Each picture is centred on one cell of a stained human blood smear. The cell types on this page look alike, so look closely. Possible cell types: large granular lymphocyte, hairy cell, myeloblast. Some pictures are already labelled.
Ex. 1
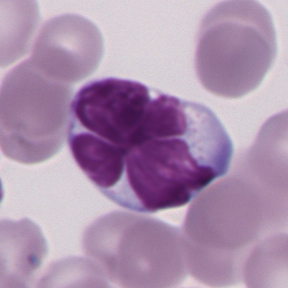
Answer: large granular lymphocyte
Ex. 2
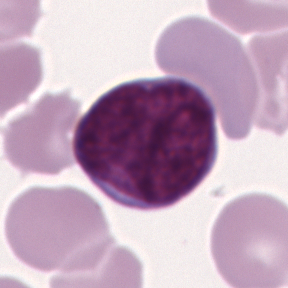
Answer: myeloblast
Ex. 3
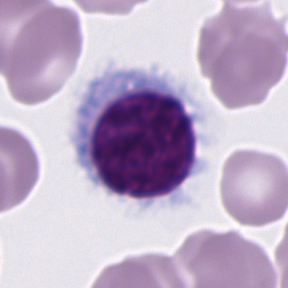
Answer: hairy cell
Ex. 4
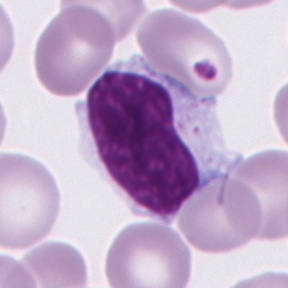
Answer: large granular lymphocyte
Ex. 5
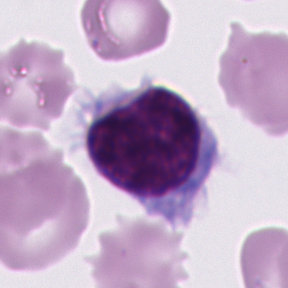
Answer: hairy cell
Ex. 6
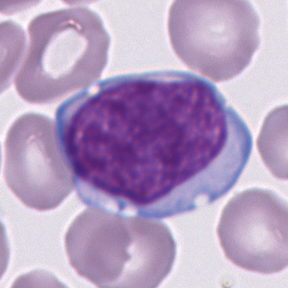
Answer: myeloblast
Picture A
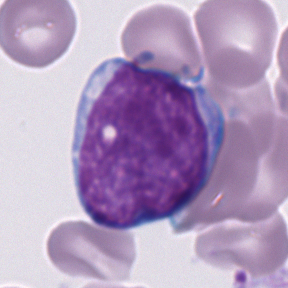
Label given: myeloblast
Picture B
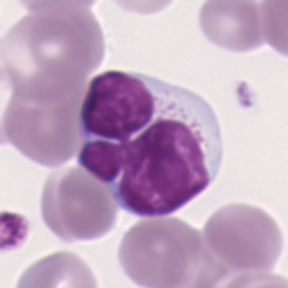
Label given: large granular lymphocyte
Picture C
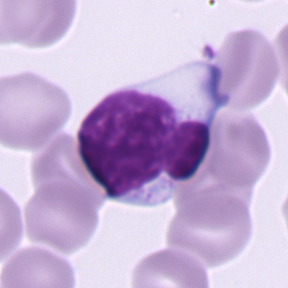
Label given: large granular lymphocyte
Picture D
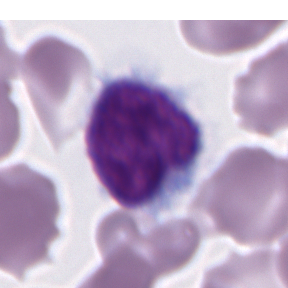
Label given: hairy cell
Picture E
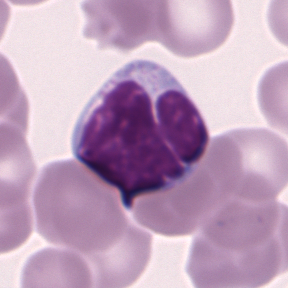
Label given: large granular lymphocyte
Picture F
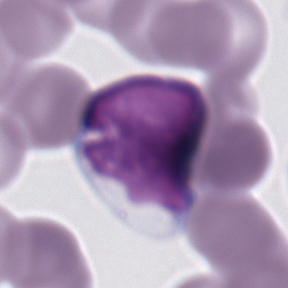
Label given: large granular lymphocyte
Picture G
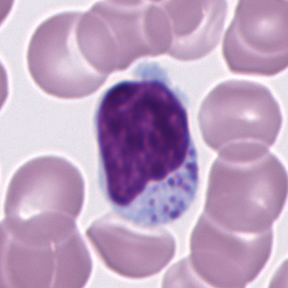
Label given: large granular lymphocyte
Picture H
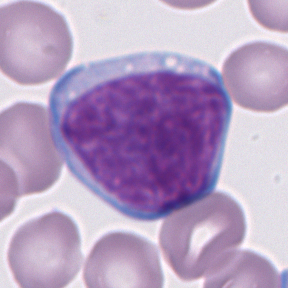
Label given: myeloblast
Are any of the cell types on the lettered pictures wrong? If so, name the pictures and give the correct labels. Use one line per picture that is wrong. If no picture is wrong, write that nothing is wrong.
All correct.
